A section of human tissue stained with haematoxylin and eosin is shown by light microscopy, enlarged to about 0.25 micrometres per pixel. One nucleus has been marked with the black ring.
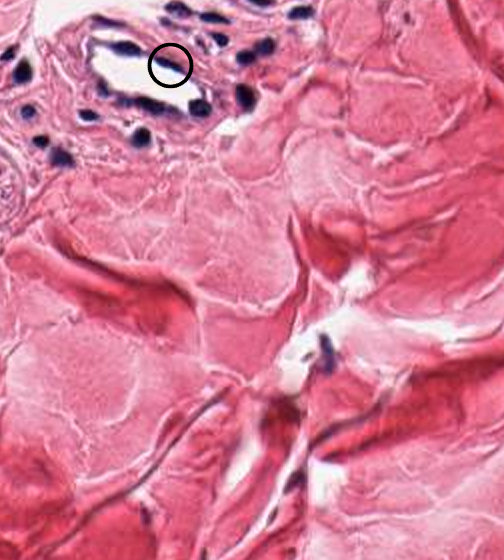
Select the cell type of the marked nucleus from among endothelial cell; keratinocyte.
endothelial cell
